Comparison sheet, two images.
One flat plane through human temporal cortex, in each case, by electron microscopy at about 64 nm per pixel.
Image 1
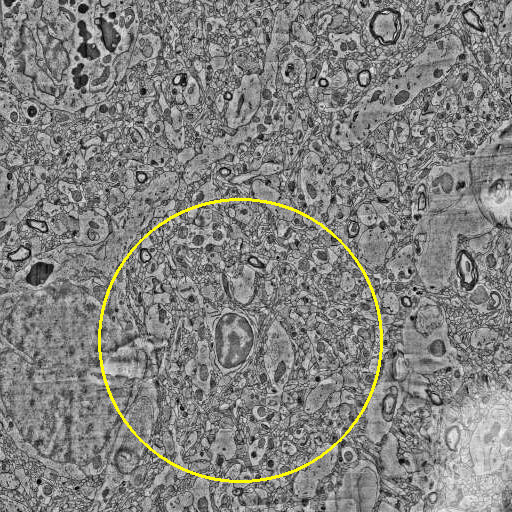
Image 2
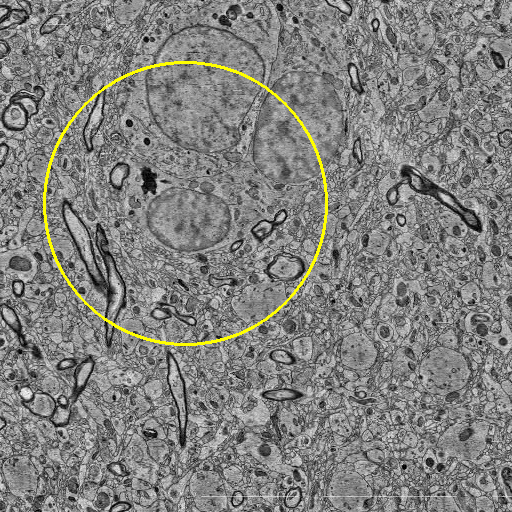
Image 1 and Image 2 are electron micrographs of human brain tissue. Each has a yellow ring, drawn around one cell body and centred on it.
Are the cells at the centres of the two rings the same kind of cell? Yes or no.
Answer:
no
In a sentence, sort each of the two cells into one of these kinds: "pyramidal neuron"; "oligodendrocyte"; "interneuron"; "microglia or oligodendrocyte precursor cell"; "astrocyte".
The first of the two cells is a microglial cell or oligodendrocyte precursor cell, and the second is an oligodendrocyte.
